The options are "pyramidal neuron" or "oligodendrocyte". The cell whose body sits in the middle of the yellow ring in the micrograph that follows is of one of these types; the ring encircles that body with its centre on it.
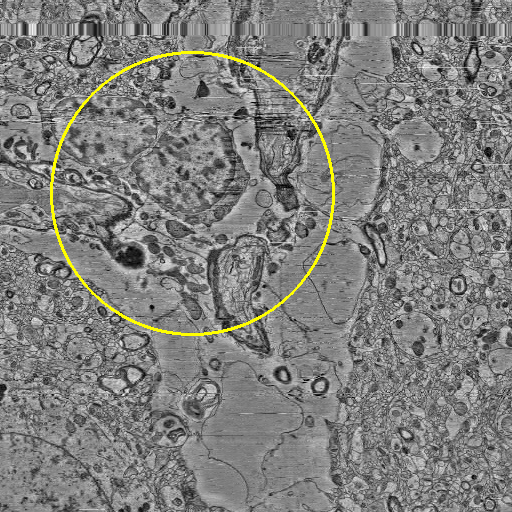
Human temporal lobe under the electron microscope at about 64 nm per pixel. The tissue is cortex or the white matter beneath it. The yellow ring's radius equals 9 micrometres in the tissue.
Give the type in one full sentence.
Going by the micrograph, the cell centred in the yellow ring is an oligodendrocyte.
